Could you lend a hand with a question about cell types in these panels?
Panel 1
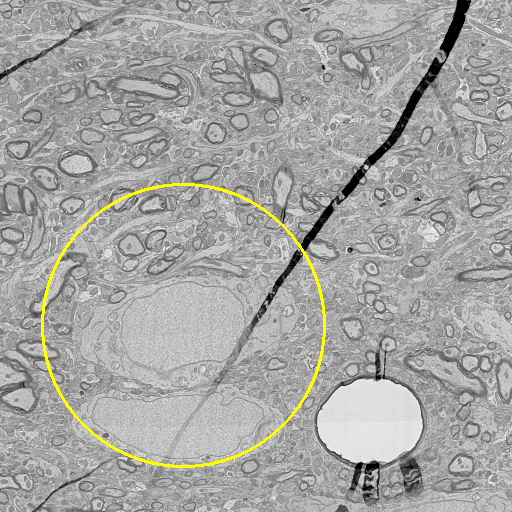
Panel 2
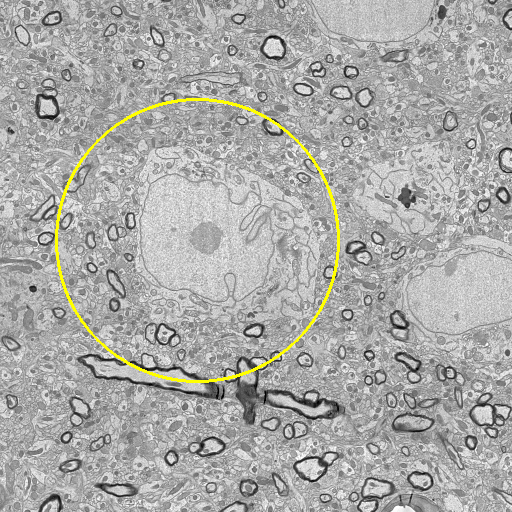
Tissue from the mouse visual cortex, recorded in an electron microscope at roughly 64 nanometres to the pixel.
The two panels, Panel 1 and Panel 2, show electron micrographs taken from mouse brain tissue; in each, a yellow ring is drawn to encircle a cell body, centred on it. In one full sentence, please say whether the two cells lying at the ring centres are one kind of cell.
No, the cells at the ring centres in the two panels are two kinds of cell.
